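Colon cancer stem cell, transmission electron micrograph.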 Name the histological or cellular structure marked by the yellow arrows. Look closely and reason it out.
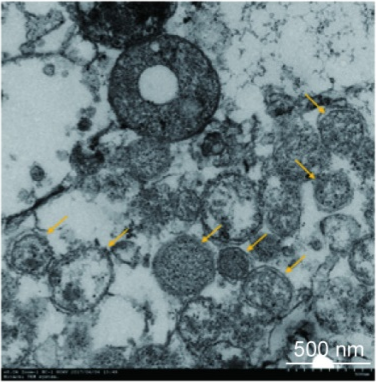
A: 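Double-membrane spheroid. The arrows point at round vesicles bounded by a dark rim. Several vesicles show two closely apposed membranes at their edge. The vesicles are a few hundred nanometres across against the 500 nm scale bar.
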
